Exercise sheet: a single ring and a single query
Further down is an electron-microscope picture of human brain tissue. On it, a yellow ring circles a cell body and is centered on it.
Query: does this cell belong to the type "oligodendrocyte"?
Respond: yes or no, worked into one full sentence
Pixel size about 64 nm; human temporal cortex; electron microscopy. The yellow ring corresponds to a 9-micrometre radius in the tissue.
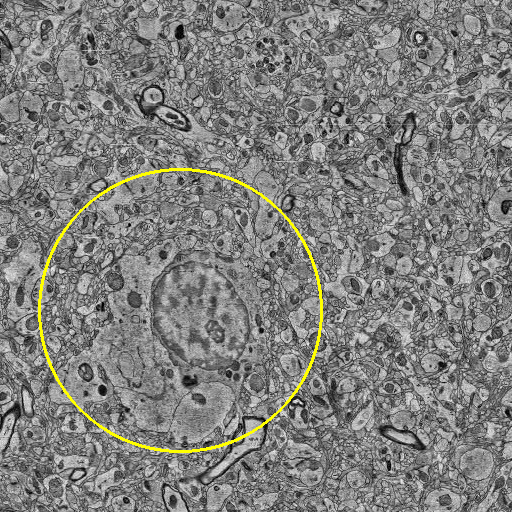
Yes, this ringed cell, found at the center of the ring in the picture, is of that type.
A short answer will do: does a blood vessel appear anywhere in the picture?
No, none appears.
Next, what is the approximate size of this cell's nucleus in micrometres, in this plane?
In this plane the nucleus is about 8 micrometres by 6.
